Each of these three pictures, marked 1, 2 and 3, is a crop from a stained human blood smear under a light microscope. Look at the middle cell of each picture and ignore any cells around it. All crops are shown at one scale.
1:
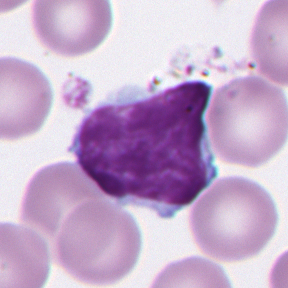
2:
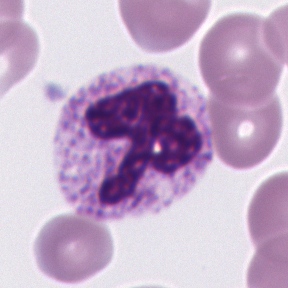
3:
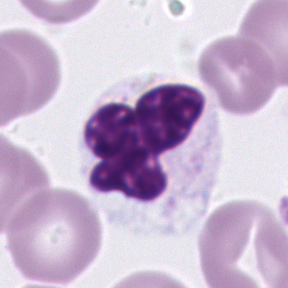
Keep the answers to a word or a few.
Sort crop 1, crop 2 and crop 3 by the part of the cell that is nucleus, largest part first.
1, 3, 2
